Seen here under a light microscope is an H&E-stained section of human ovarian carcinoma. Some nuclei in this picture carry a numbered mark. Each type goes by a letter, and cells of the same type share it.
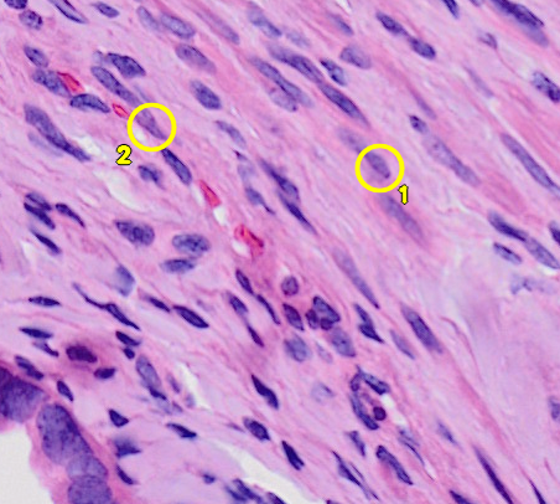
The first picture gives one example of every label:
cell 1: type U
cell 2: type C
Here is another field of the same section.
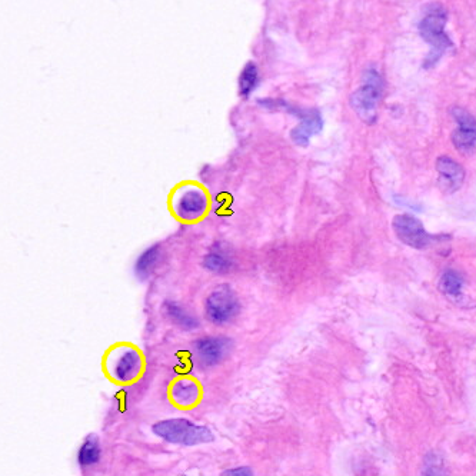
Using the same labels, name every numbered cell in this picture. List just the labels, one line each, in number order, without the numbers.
type C
type C
type U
